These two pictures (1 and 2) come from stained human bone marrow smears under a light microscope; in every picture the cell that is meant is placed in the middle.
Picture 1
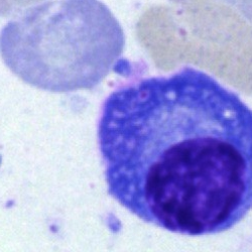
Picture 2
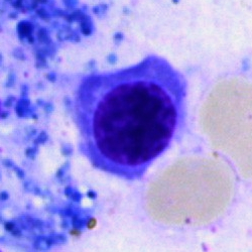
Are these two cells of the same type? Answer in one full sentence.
No, picture 1 shows a plasma cell and picture 2 shows an erythroblast.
